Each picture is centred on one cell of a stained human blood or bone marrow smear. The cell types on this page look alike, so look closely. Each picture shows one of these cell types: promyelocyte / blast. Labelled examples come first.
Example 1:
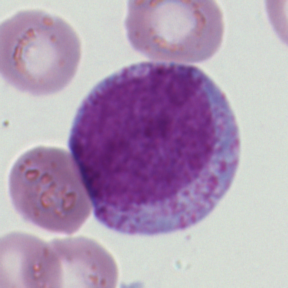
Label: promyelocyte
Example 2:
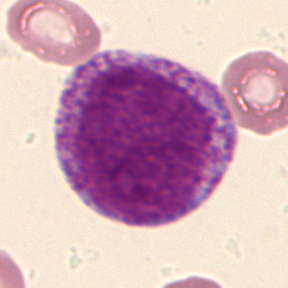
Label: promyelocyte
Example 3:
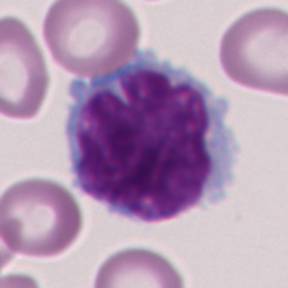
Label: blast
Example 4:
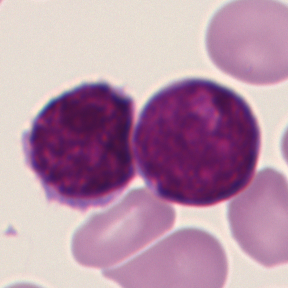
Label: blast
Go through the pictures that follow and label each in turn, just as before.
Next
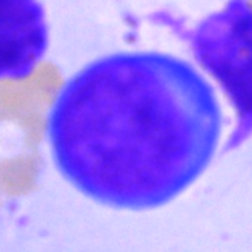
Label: blast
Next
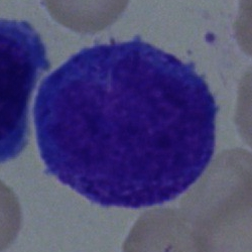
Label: promyelocyte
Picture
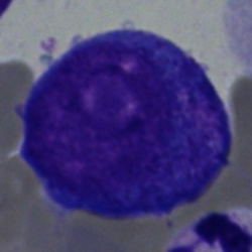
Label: promyelocyte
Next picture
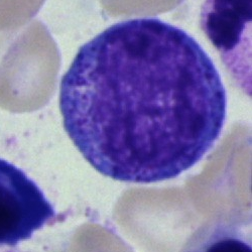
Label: promyelocyte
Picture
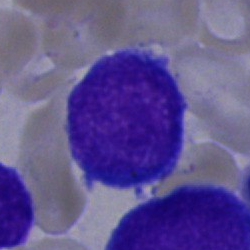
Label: blast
